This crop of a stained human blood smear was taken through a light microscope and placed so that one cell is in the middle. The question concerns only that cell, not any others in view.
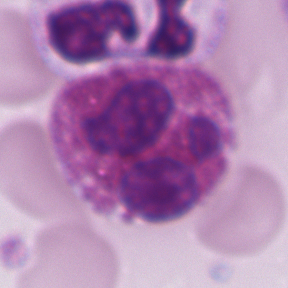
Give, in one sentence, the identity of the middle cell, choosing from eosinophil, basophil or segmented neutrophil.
The centrally positioned cell in the crop represents an eosinophil.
